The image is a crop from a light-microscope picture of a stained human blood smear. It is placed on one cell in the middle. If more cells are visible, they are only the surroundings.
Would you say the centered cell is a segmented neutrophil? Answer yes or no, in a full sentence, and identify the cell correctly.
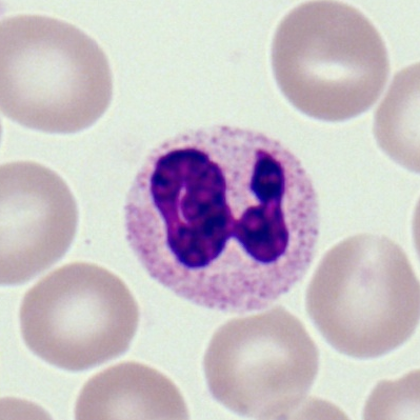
Yes, it is a segmented neutrophil that occupies the centre of the crop.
